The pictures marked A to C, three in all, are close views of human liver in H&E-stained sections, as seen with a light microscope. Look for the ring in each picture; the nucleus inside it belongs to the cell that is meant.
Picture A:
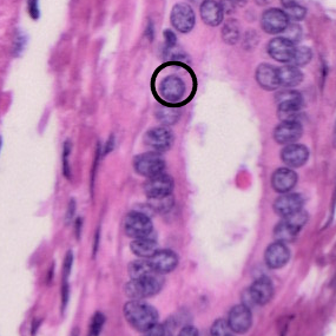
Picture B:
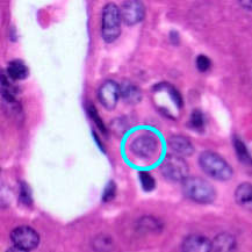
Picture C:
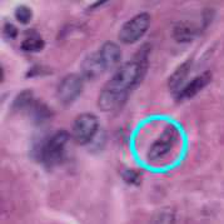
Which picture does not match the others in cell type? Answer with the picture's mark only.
C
